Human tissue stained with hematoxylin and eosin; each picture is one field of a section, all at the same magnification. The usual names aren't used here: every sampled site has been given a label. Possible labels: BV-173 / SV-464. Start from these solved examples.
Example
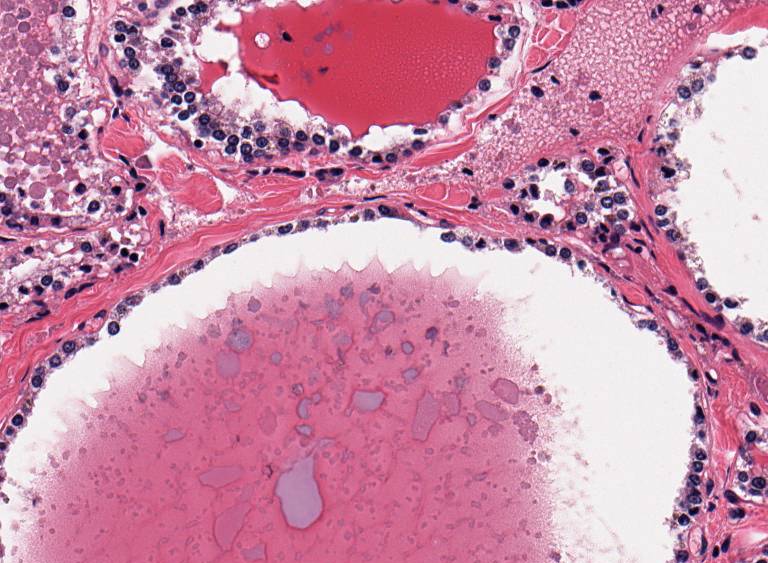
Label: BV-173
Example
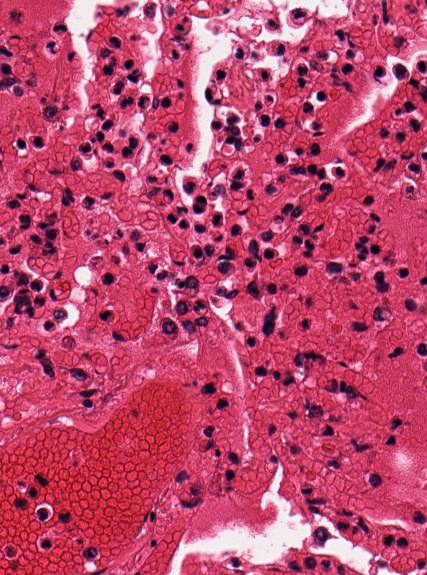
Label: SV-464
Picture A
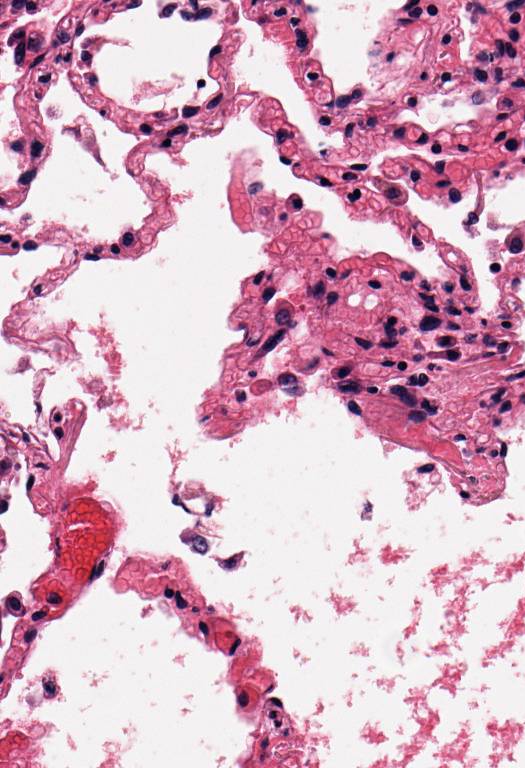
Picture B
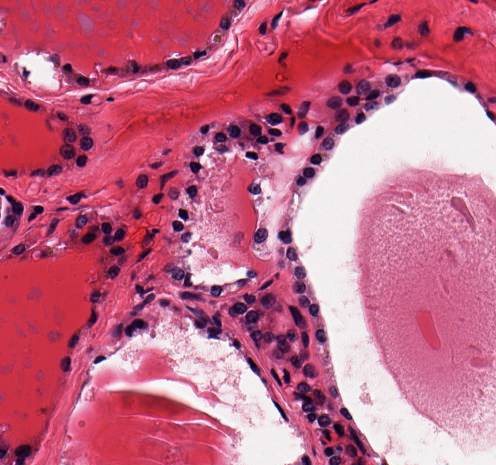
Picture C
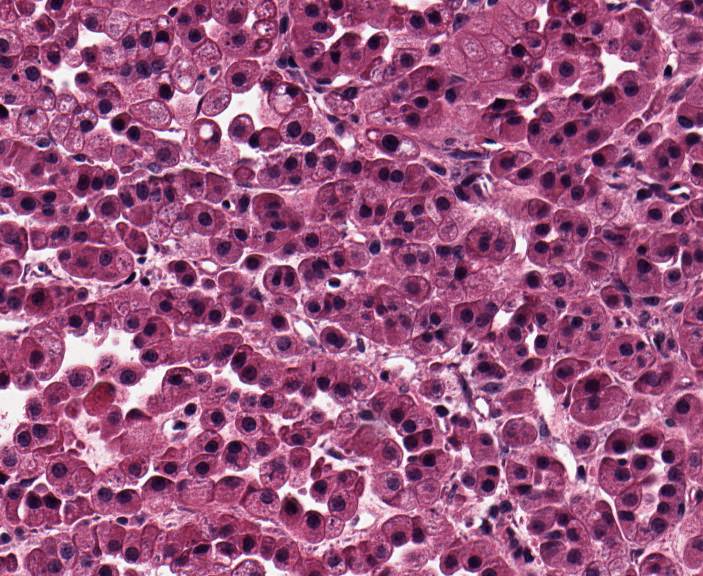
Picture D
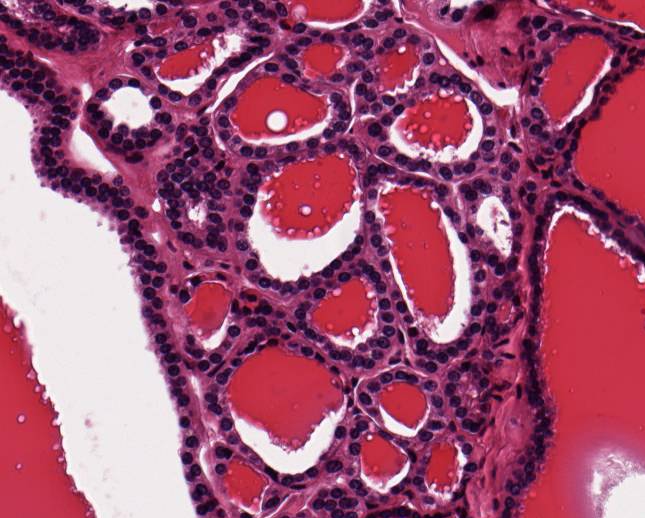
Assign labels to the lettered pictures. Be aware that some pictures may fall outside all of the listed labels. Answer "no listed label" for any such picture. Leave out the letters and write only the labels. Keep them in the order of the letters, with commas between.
SV-464, BV-173, no listed label, BV-173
